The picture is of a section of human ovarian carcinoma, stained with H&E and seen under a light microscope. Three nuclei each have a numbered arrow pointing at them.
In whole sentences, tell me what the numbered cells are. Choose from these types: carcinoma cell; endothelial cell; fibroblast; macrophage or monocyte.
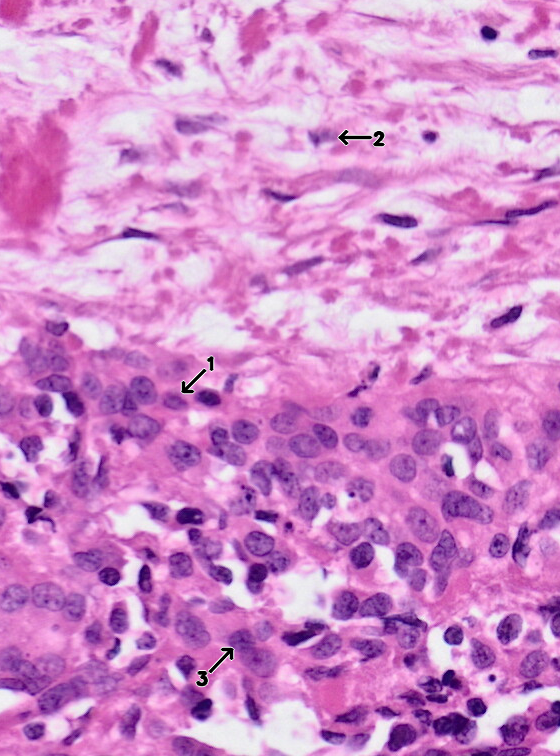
Cell 1 is a carcinoma cell, cell 2 is a fibroblast and cell 3 is a carcinoma cell.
